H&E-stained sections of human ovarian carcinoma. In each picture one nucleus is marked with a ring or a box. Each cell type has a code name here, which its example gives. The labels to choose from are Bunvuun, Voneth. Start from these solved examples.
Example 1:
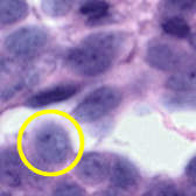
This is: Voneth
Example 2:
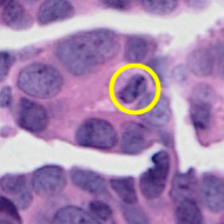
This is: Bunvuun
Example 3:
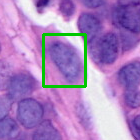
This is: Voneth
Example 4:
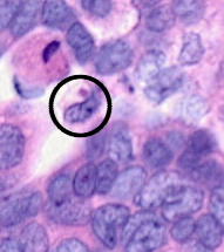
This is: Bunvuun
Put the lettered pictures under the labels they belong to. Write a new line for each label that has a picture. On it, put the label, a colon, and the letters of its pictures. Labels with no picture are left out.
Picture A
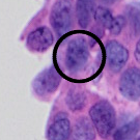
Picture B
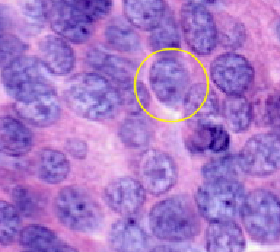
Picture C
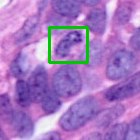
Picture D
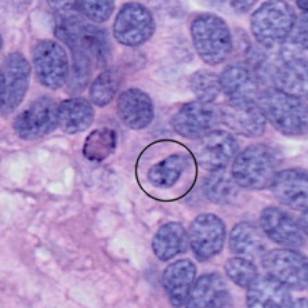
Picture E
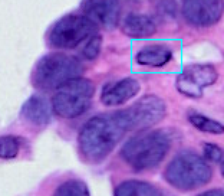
Bunvuun: C, D, E
Voneth: A, B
